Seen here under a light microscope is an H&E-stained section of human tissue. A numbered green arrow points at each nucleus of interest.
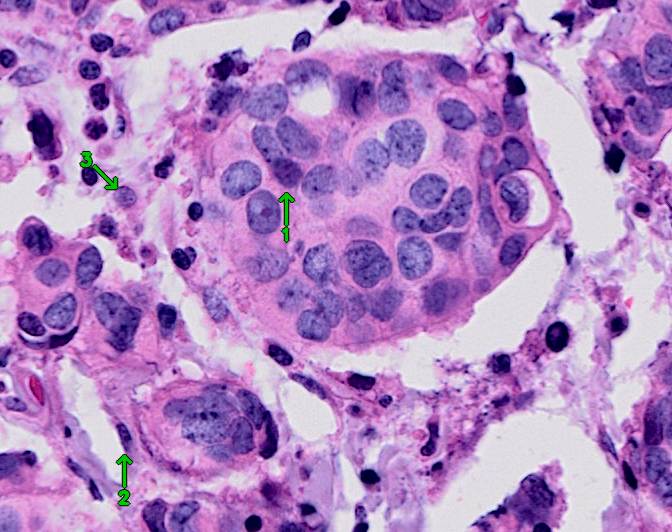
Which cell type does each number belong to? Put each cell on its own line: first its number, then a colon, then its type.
1: carcinoma cell
2: fibroblast
3: macrophage, monocyte or dendritic cell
